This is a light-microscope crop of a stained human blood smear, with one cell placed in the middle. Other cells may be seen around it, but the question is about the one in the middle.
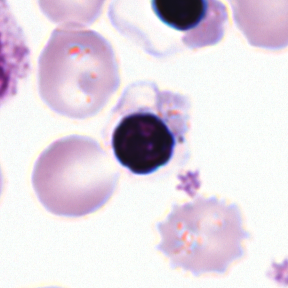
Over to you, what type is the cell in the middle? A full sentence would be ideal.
In the centre of this crop there is a normoblast.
